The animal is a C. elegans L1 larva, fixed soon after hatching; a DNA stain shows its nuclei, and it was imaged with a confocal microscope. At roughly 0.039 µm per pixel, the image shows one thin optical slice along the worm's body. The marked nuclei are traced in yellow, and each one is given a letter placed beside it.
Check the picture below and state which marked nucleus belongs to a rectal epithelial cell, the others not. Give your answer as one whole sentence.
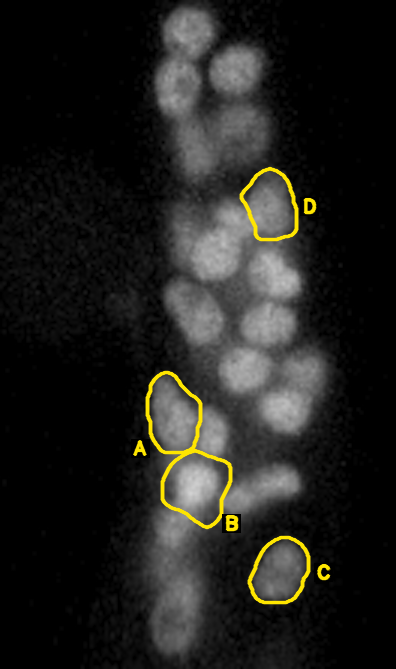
Of the marked nuclei, A is the one in a rectal epithelial cell.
